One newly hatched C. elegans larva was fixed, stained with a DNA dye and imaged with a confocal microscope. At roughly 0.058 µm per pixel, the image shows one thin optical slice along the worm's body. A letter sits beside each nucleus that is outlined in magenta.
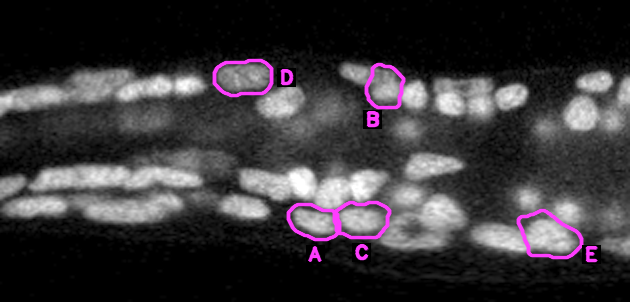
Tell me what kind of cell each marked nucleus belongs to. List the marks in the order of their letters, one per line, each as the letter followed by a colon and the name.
A: hypodermal cell (hyp)
B: neuron
C: hypodermal cell (hyp)
D: hypodermal cell (hyp)
E: neuron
